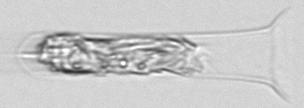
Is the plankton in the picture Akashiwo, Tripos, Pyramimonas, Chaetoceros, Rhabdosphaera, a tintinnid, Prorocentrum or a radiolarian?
It is a tintinnid.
